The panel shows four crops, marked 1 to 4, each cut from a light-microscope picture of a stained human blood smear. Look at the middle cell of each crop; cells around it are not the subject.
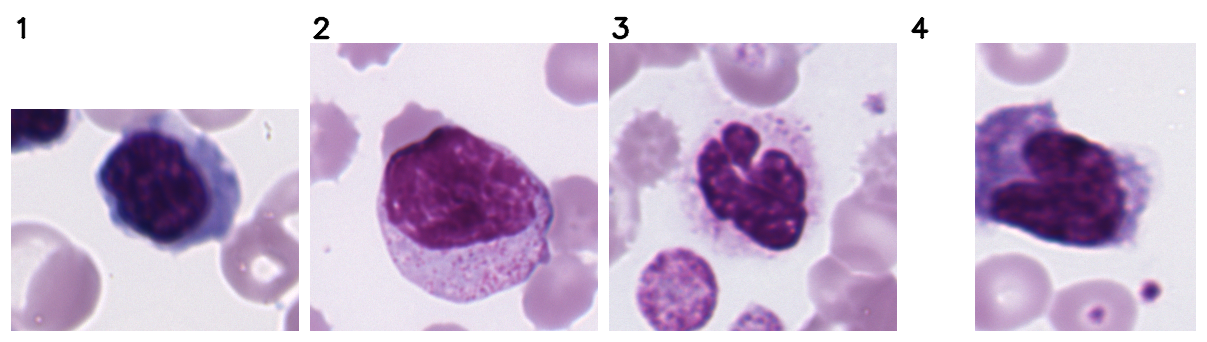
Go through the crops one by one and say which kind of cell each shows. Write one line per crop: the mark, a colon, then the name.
1: erythroblast
2: myelocyte
3: segmented neutrophil
4: monocyte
